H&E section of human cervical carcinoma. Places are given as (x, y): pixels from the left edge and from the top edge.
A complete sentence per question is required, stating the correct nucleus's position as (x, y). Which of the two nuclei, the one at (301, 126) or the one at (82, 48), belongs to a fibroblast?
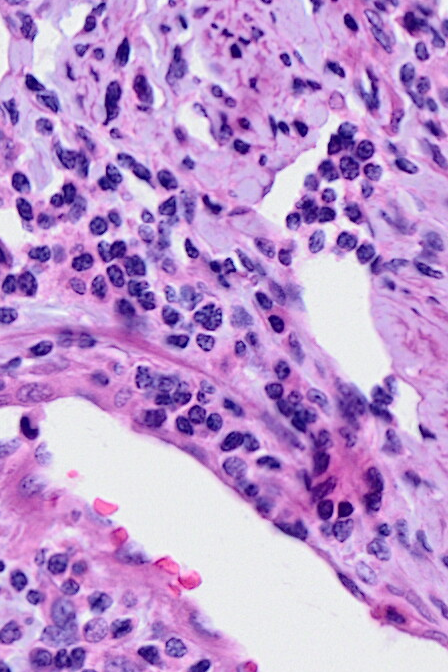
The nucleus at (82, 48) is part of a fibroblast, while the other is not.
